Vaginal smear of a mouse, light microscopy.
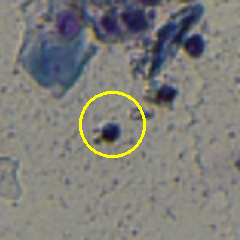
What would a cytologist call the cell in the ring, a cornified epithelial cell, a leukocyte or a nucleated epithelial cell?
A cytologist would call it a leukocyte.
